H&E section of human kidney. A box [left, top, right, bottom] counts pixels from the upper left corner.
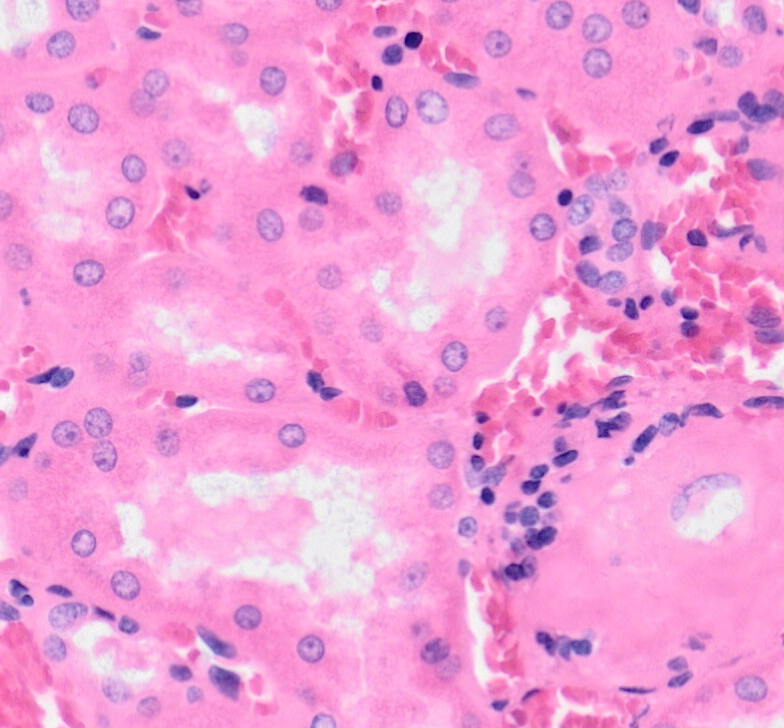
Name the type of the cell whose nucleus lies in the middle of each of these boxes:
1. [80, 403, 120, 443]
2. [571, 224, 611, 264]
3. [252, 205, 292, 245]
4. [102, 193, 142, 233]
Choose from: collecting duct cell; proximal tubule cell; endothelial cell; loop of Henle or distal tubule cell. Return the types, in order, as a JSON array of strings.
["proximal tubule cell", "collecting duct cell", "proximal tubule cell", "proximal tubule cell"]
